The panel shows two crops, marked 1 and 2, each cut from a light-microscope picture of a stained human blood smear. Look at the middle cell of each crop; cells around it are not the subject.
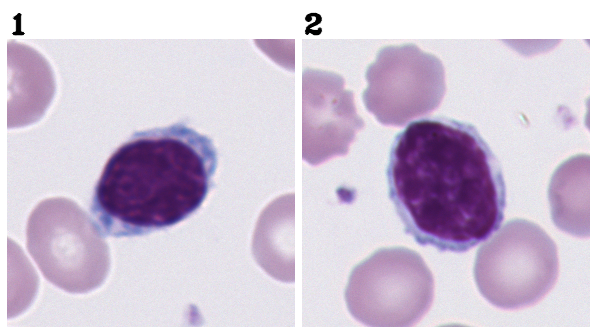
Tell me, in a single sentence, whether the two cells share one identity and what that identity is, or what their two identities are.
Yes, the middle cells in the two crops are typical lymphocytes.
